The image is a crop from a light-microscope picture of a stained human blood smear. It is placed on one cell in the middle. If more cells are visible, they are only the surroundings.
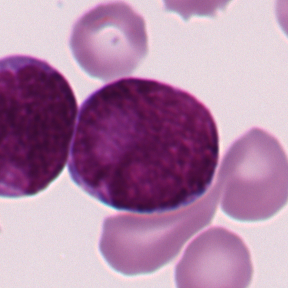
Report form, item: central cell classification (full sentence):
Present in the middle of the crop is a myeloblast.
